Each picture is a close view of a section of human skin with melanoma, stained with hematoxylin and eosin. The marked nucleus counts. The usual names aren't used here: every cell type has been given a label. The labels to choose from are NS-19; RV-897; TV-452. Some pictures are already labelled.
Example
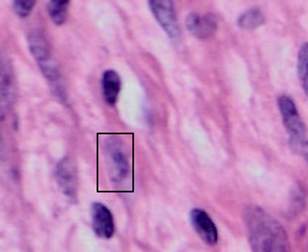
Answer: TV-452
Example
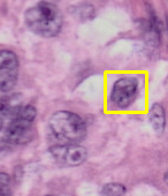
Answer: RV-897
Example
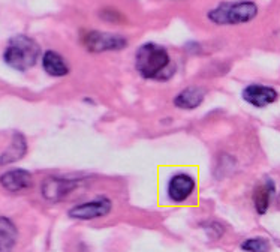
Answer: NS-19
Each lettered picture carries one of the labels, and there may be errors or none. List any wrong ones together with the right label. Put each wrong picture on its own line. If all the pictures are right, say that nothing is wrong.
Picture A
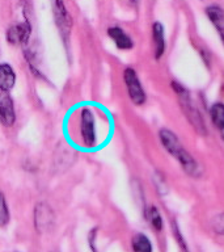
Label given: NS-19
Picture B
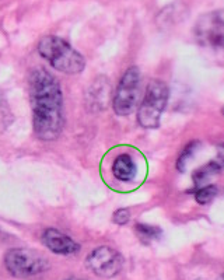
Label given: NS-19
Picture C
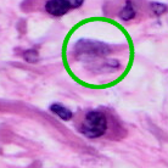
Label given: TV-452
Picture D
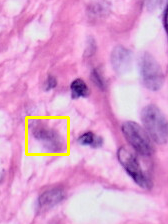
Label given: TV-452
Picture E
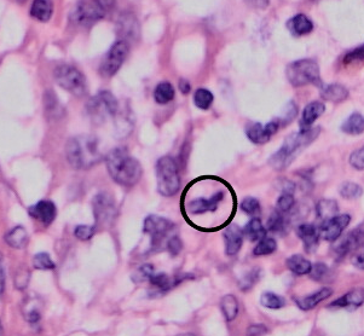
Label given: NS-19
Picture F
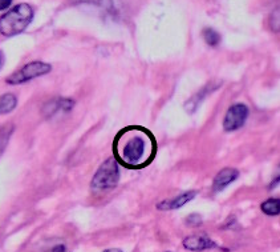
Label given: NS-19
None of the labels needs changing.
